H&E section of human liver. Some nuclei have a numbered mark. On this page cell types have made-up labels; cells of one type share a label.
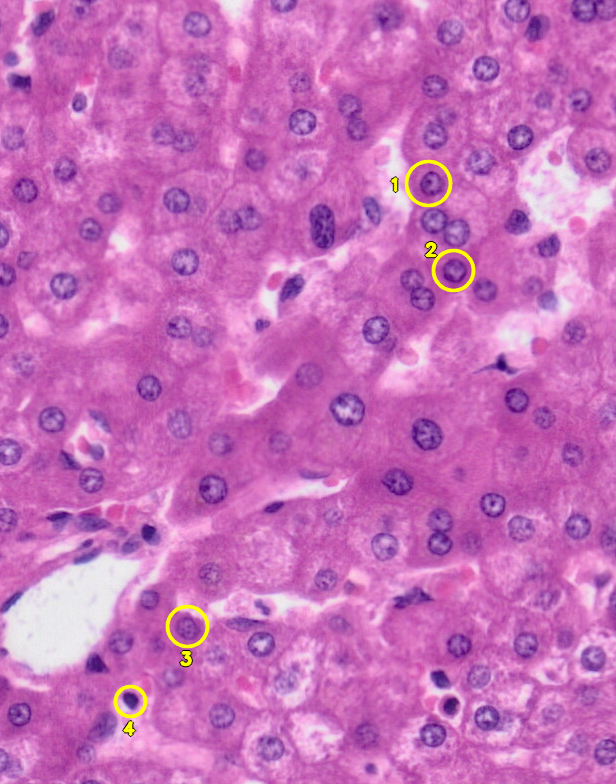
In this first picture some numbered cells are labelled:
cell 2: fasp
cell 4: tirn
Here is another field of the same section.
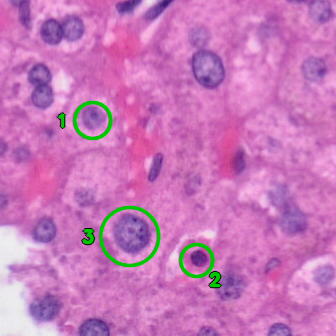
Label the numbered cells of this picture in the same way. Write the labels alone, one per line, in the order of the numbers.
fasp
tirn
fasp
